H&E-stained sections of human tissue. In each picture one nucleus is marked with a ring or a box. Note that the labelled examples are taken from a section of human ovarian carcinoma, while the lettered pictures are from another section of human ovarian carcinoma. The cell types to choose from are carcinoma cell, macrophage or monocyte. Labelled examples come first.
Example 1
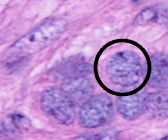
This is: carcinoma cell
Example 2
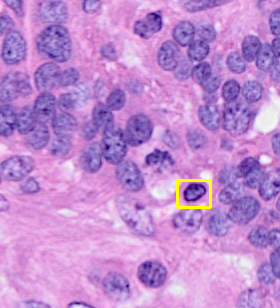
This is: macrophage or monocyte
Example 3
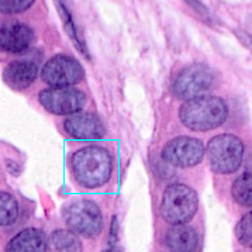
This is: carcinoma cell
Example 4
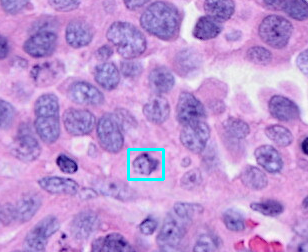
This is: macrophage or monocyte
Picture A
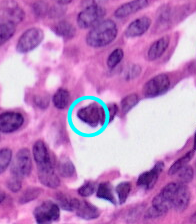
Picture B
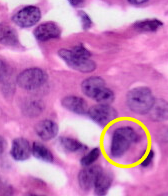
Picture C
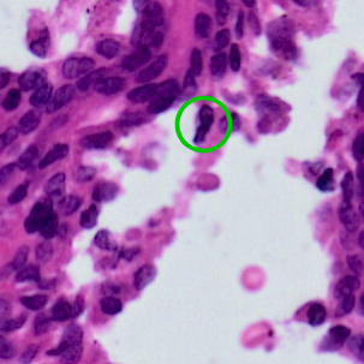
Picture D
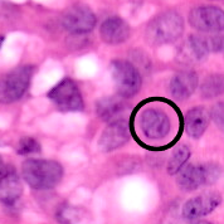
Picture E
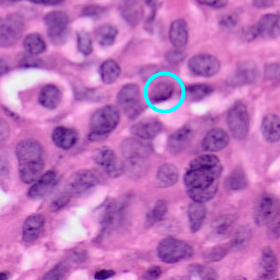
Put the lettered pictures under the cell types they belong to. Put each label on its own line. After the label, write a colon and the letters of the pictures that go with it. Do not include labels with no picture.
carcinoma cell: A, B, D, E
macrophage or monocyte: C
